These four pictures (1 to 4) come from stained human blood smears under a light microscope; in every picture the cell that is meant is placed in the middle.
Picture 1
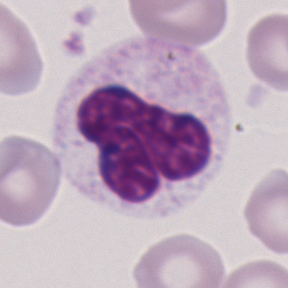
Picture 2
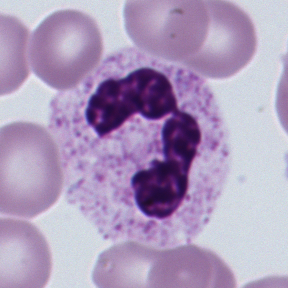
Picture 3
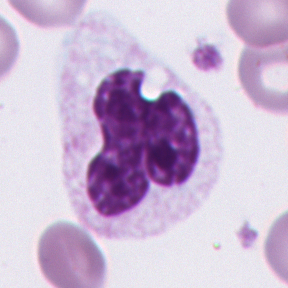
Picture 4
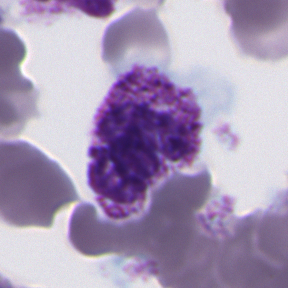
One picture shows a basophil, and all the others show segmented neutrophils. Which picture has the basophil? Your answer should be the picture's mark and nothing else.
4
